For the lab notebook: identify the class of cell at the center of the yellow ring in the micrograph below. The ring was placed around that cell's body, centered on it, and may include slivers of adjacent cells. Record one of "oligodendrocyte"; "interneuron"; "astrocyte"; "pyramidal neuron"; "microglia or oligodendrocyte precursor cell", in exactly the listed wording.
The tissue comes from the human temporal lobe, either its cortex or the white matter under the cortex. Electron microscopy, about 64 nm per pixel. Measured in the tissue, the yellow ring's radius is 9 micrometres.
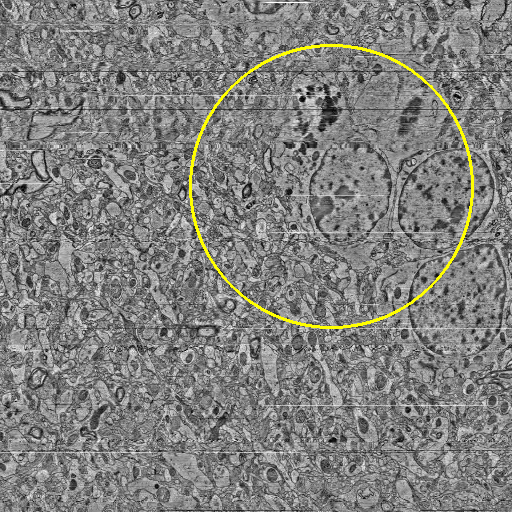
astrocyte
